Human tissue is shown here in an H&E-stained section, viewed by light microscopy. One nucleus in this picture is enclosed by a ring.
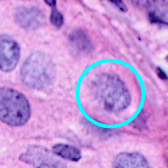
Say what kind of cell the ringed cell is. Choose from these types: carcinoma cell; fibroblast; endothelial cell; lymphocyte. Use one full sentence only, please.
Labelled by cell type, the ringed cell is a carcinoma cell.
